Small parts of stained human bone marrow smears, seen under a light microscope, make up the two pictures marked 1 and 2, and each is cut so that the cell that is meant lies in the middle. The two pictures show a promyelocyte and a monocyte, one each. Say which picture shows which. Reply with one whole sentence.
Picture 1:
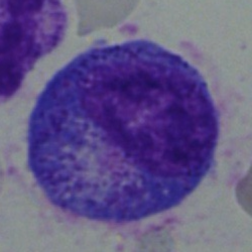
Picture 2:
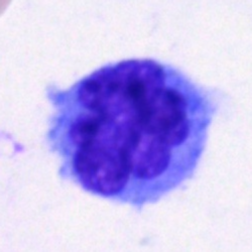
Picture 1 is of a promyelocyte, and picture 2 is of a monocyte.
